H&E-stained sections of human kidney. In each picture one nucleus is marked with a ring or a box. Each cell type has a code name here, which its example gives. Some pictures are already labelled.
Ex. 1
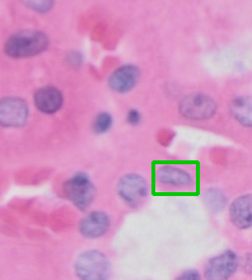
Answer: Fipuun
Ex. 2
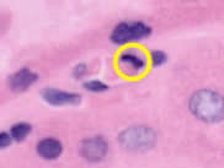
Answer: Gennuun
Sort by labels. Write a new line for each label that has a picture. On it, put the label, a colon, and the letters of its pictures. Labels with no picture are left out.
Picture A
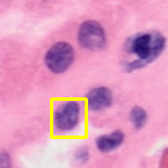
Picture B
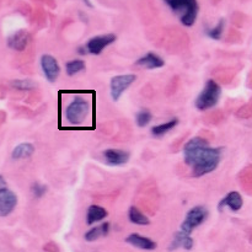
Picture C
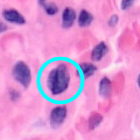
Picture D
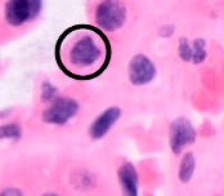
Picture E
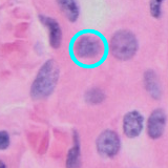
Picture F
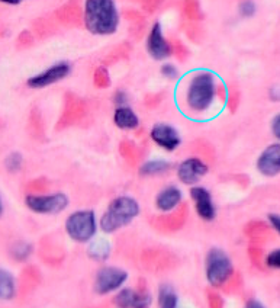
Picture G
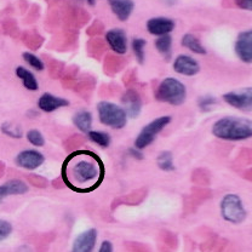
Fipuun: A, D, E
Gennuun: B, C, F, G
